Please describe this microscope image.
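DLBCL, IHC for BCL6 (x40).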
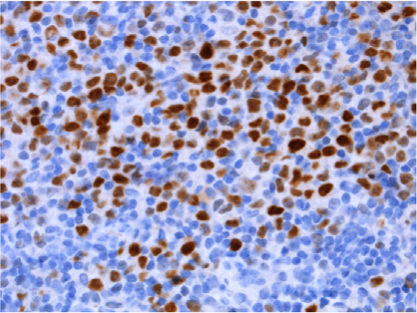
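Densely packed lymphoma cells with round to oval nuclei, many of them stained brown while the rest show only the blue counterstain. The brown stain lies within the nuclei, varying from pale tan to deep brown between cells, and the scant cytoplasm around them stays unstained. The cells lie in a diffuse sheet without any glandular or follicular arrangement, and the nuclei vary moderately in size.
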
